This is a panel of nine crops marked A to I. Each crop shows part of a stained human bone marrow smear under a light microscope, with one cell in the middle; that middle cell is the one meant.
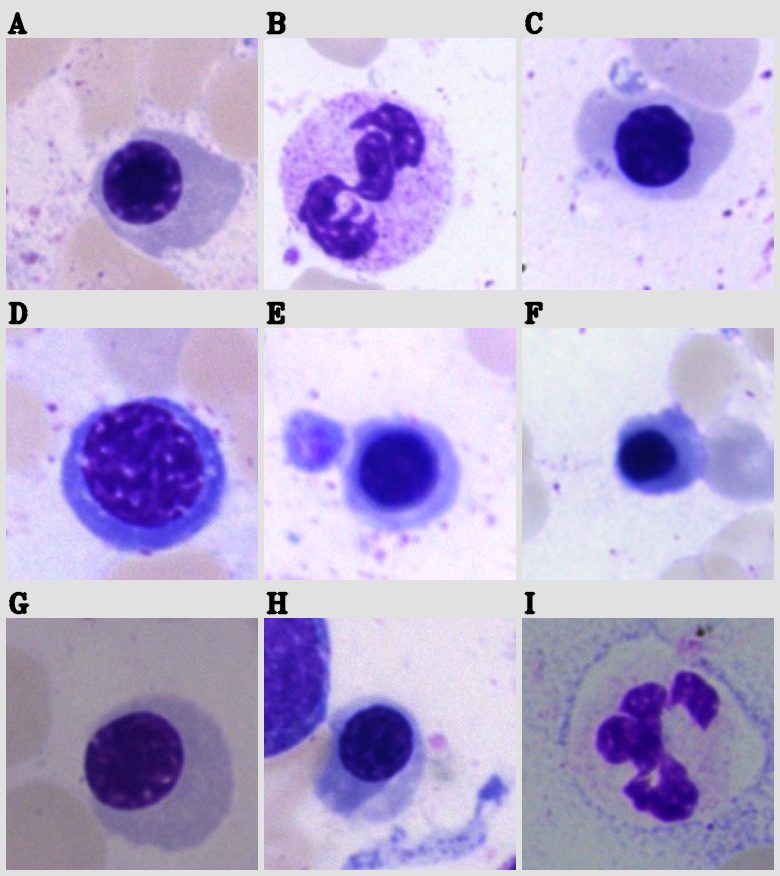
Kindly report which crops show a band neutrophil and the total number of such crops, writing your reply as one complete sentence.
Since no crop contains band neutrophils, the number is zero.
